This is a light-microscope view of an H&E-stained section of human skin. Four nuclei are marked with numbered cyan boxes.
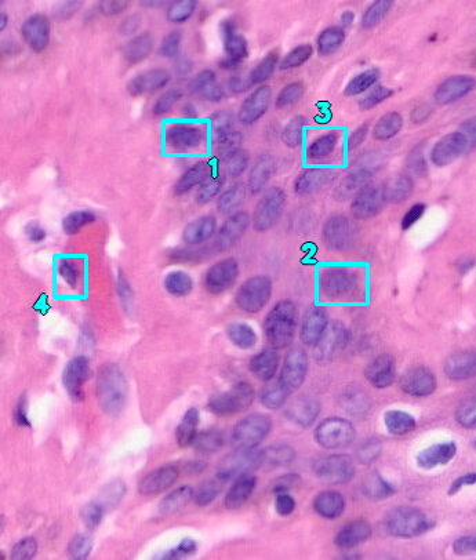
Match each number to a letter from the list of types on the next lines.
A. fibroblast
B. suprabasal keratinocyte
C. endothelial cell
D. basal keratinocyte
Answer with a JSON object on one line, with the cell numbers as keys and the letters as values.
{"1": "D", "2": "D", "3": "D", "4": "C"}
